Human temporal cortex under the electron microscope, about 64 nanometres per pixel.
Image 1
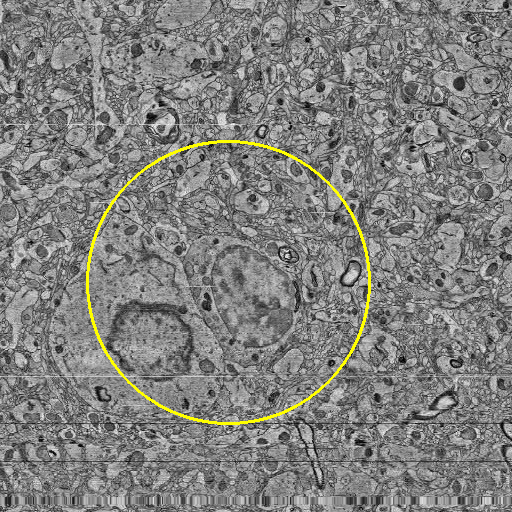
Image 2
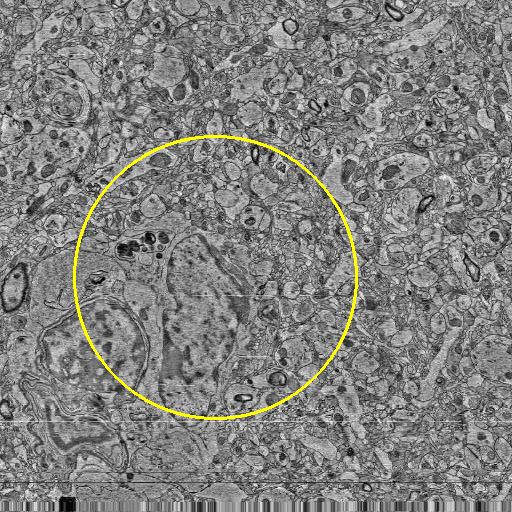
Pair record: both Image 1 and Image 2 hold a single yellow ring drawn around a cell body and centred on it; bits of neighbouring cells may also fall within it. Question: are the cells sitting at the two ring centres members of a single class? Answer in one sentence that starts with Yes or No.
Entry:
No, the ring-centre cells in Image 1 and Image 2 come from two classes.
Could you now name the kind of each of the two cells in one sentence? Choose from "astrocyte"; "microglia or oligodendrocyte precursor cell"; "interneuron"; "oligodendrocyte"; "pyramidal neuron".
The first ring encloses an oligodendrocyte; the second ring encloses a microglial cell or oligodendrocyte precursor cell.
